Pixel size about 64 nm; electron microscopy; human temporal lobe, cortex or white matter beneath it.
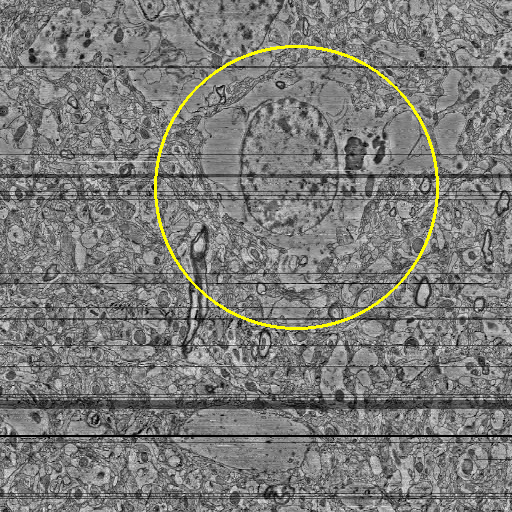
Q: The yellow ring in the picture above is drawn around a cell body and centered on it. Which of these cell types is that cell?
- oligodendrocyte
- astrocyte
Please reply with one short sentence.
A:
The cell body at the ring's center belongs to an astrocyte.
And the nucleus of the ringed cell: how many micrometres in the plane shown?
The nucleus is approximately 9 micrometers long by 6 micrometers wide in this plane.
